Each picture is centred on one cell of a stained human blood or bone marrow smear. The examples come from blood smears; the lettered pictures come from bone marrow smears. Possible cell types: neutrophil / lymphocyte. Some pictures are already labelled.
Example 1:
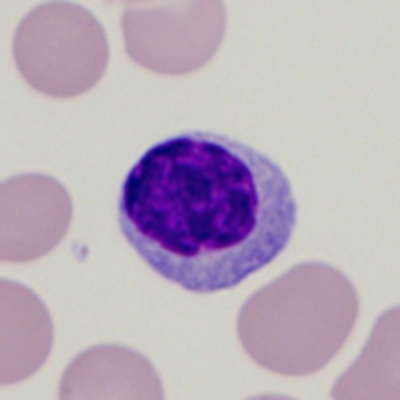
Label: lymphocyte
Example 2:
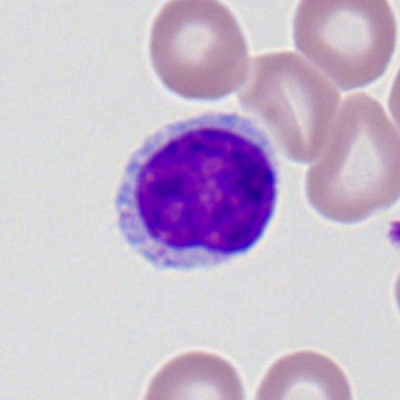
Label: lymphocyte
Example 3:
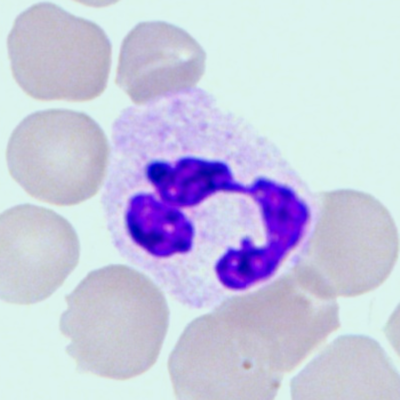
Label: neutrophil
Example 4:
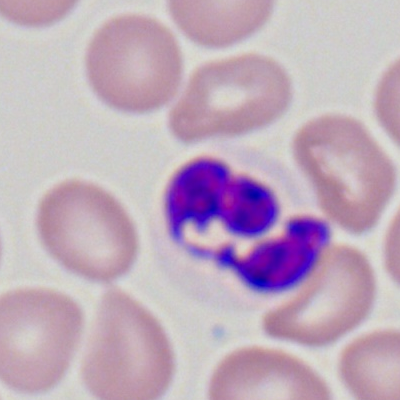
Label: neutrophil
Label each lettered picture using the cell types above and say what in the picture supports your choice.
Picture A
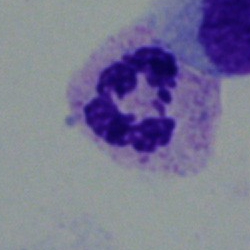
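neutrophil. Evidence: Fine pinkish-purple granules are scattered through the cytoplasm.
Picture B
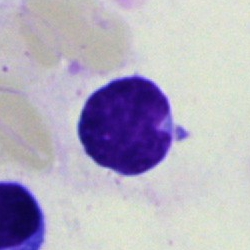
lymphocyte. Evidence: The nucleus fills almost the whole cell, leaving very little visible cytoplasm.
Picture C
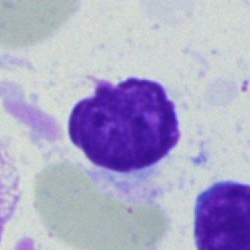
lymphocyte. Evidence: The nucleus fills nearly the whole of the cell.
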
